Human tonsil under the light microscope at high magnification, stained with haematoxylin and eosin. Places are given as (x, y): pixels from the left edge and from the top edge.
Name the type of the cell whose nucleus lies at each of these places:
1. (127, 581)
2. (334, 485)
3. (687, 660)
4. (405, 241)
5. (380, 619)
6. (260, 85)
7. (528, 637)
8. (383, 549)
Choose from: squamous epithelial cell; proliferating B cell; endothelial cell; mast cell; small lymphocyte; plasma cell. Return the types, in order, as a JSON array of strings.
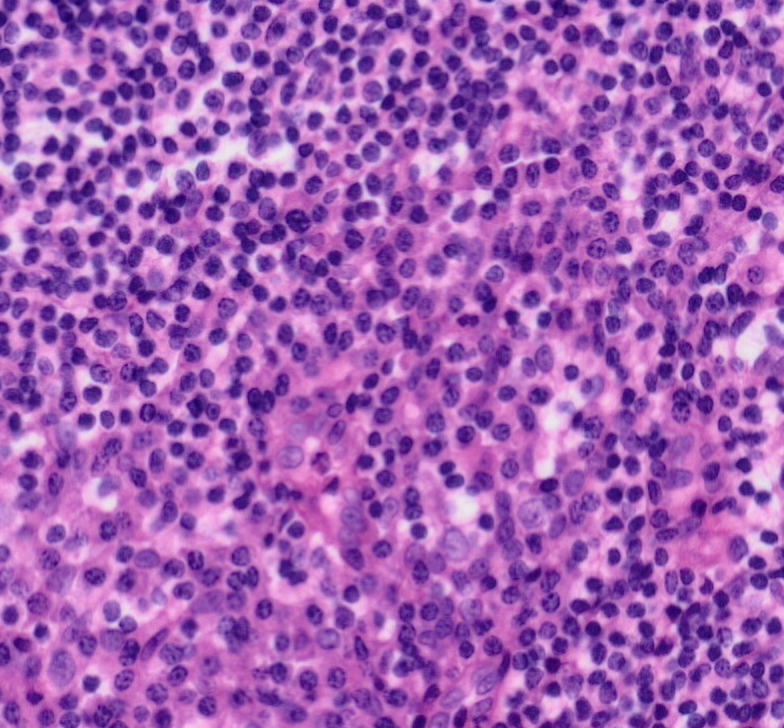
["plasma cell", "endothelial cell", "small lymphocyte", "plasma cell", "plasma cell", "small lymphocyte", "plasma cell", "plasma cell"]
